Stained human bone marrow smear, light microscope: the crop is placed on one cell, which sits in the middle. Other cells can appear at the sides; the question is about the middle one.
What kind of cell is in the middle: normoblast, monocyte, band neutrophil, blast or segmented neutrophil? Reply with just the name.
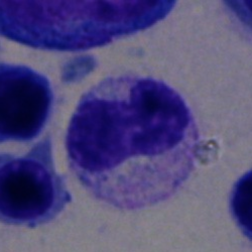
band neutrophil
